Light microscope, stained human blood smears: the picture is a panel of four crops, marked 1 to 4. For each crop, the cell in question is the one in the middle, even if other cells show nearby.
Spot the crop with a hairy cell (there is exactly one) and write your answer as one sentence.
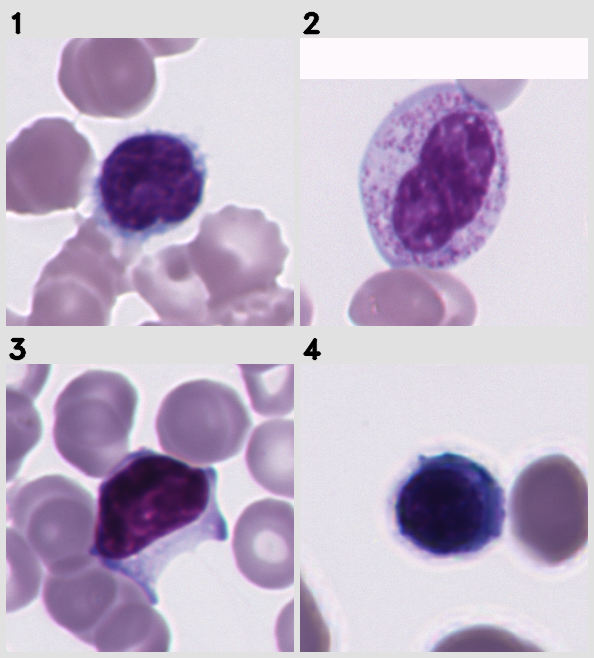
The crop carrying a hairy cell at the center is crop 1.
